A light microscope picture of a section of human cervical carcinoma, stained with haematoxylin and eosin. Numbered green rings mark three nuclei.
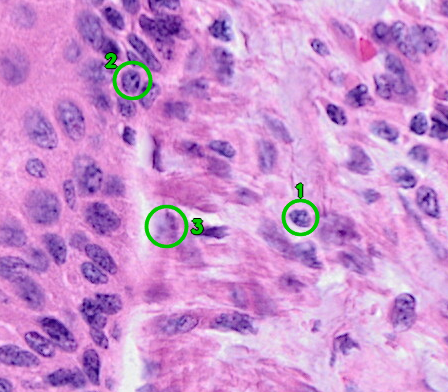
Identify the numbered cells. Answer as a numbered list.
1. lymphocyte
2. squamous carcinoma cell
3. fibroblast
